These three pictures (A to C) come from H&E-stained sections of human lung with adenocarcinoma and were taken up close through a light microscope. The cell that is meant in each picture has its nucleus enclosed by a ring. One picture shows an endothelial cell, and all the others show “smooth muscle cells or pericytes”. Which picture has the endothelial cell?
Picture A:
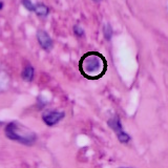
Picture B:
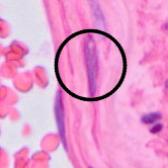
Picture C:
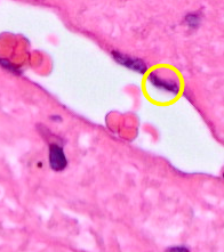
C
